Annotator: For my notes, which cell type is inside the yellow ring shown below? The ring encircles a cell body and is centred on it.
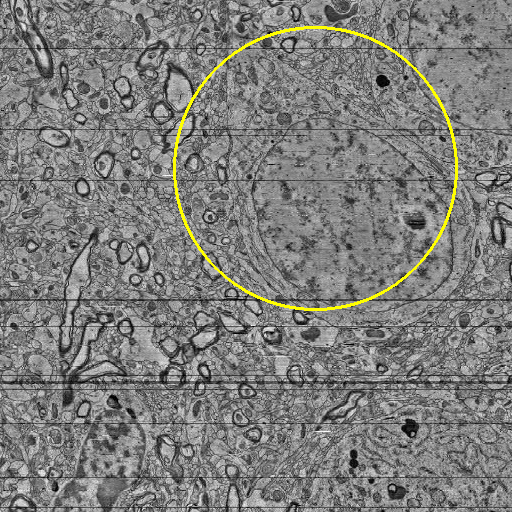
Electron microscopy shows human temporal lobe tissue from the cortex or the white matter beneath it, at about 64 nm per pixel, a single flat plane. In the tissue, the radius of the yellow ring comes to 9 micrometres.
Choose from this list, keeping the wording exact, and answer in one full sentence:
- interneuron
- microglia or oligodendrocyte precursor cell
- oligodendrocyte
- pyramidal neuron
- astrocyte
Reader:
At the centre of the yellow ring there is a pyramidal neuron, as shown in the picture.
